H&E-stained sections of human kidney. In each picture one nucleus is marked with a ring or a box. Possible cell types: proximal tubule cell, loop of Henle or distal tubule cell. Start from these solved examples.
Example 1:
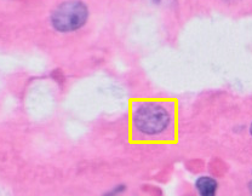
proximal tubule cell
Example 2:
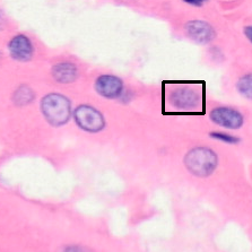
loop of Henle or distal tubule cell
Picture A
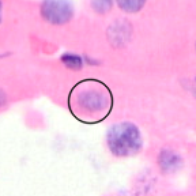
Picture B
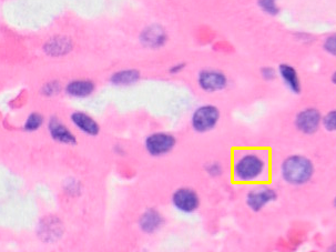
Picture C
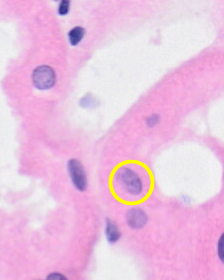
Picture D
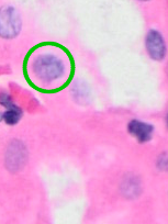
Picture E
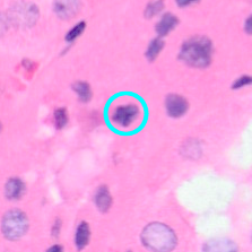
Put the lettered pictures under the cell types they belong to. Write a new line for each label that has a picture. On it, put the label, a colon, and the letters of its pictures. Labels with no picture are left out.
proximal tubule cell: C
loop of Henle or distal tubule cell: A, B, D, E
